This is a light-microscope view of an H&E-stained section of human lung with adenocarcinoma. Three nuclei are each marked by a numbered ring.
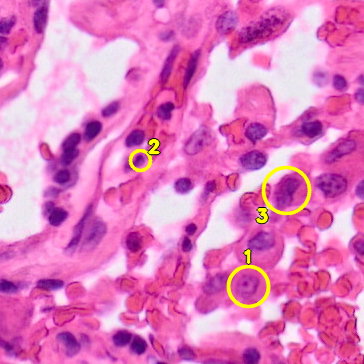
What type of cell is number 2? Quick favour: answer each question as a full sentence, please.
Cell 2, as marked in the section, is an endothelial cell.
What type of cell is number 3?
The cell identified by the number 3 is a macrophage or monocyte.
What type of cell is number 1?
The nucleus labelled 1 belongs to a macrophage or monocyte.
